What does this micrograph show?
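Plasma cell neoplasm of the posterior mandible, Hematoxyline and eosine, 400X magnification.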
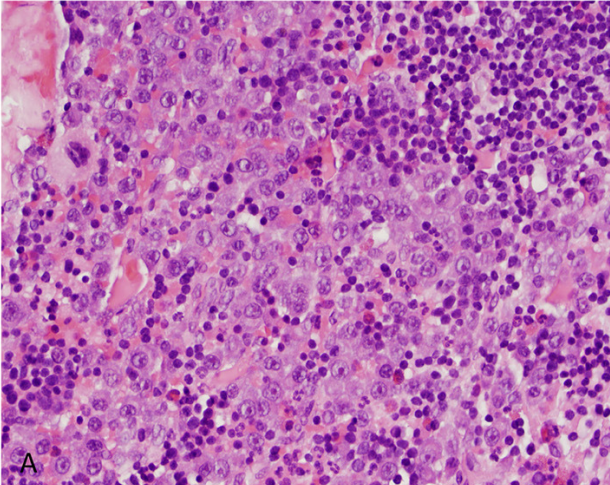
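Between and around these groups, especially toward the right side, are many small cells with dense, dark purple round nuclei and scant cytoplasm. Bright pink strands and patches of extracellular material, some holding red blood cells, run through the field, most clearly toward the upper left.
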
